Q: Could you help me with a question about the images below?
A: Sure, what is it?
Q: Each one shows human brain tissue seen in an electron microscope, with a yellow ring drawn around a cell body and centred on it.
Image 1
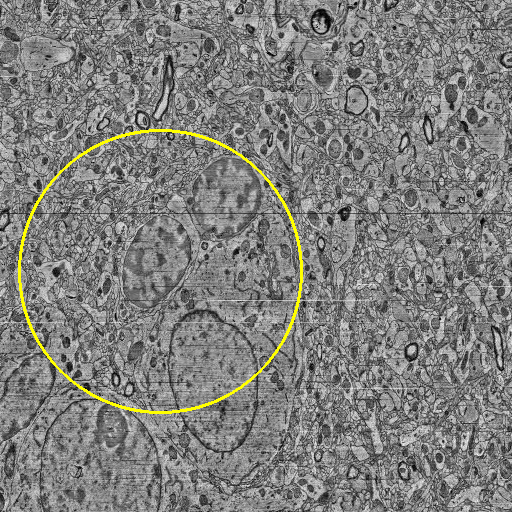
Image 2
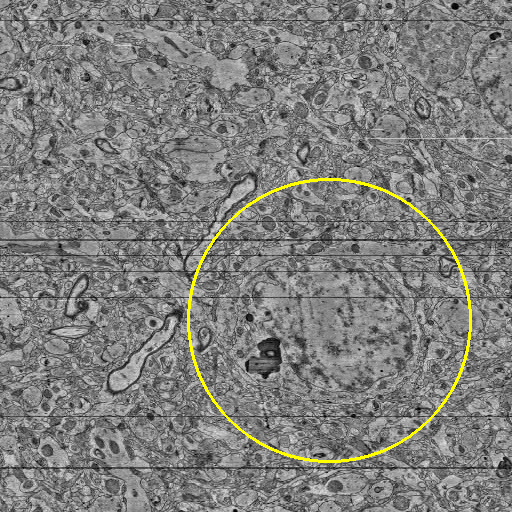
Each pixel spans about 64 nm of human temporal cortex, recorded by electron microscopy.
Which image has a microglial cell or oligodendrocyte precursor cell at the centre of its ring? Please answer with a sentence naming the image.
Image 1 has it at the centre of its ring.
